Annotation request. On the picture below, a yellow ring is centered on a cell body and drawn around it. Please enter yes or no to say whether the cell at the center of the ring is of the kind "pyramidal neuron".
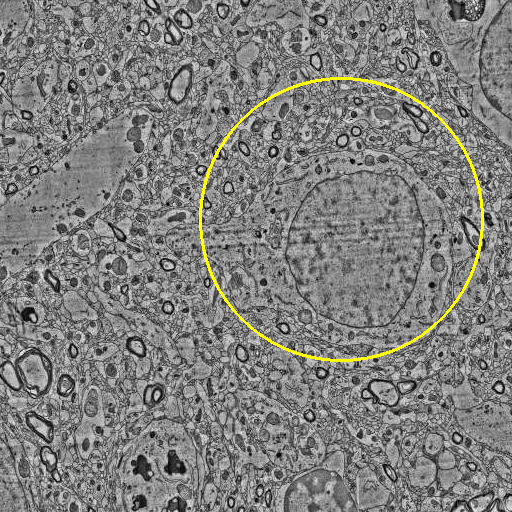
yes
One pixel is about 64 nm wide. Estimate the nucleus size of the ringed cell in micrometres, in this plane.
The nucleus of the ringed cell is approximately 10 by 9 micrometres in this plane.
